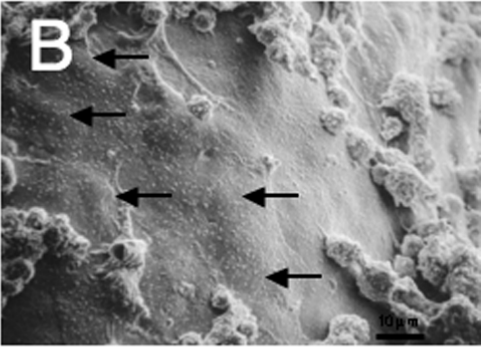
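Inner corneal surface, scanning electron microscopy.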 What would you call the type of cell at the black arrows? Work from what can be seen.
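The arrows point onto a broad, smooth, flat cell surface. Individual cells are very large relative to the 10 μm bar. That points to this answer: enlarged flattened cells with a central nuclear elevation.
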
